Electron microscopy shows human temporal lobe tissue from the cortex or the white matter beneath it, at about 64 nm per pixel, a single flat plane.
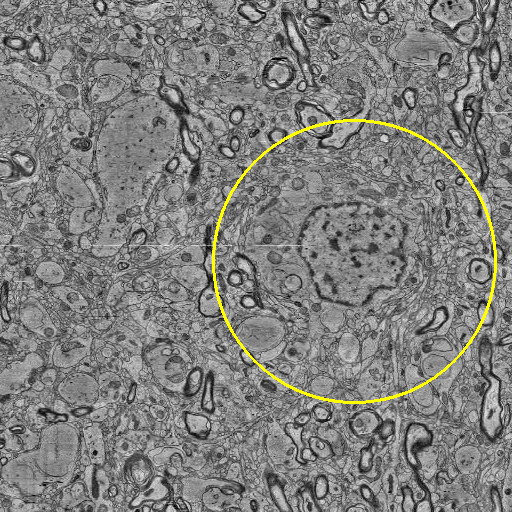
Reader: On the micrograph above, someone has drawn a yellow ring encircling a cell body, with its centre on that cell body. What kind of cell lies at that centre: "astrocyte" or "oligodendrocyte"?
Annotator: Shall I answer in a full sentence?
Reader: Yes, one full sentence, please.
Here an astrocyte sits at the centre of the yellow ring drawn on the micrograph.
